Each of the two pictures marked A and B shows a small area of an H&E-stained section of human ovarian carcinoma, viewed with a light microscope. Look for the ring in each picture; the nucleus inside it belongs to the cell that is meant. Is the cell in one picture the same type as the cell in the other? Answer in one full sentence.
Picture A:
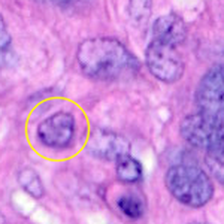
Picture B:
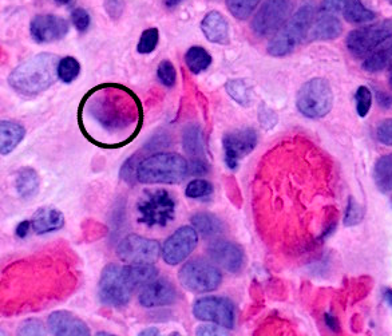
No. Picture A shows a “macrophage or monocyte”, but picture B shows an endothelial cell.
